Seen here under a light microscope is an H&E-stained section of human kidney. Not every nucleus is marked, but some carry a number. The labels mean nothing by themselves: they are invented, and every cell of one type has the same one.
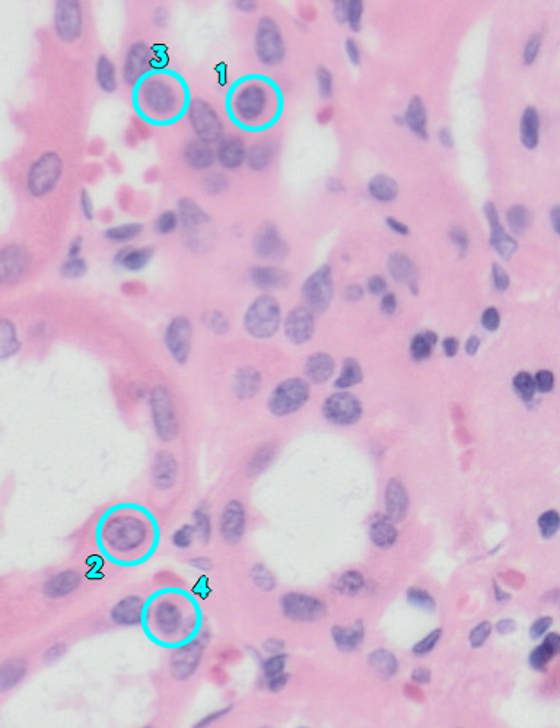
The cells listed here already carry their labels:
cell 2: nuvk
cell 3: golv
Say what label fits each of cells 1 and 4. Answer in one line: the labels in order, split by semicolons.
golv; golv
